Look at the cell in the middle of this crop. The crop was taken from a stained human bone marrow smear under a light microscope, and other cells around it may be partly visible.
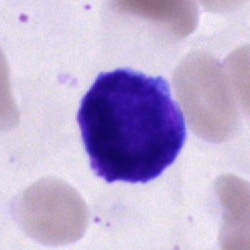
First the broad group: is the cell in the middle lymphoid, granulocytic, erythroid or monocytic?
lymphoid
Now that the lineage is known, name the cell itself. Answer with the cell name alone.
lymphocyte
